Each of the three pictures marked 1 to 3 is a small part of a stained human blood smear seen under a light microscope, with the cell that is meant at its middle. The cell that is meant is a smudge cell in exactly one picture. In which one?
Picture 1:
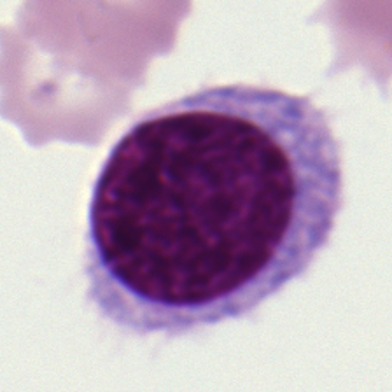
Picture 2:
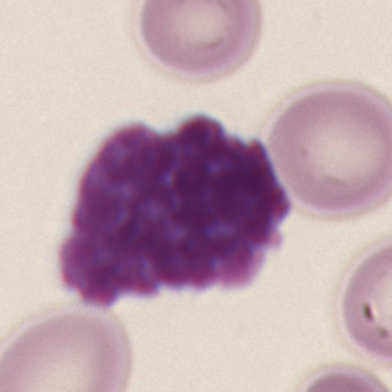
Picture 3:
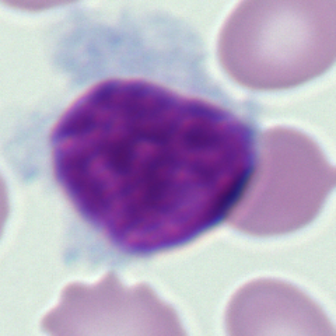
2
